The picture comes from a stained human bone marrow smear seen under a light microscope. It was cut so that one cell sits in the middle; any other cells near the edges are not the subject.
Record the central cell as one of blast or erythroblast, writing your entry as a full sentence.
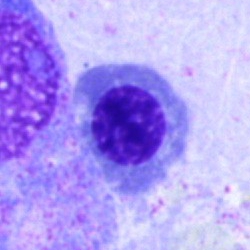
The middle of this crop is occupied by an erythroblast.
